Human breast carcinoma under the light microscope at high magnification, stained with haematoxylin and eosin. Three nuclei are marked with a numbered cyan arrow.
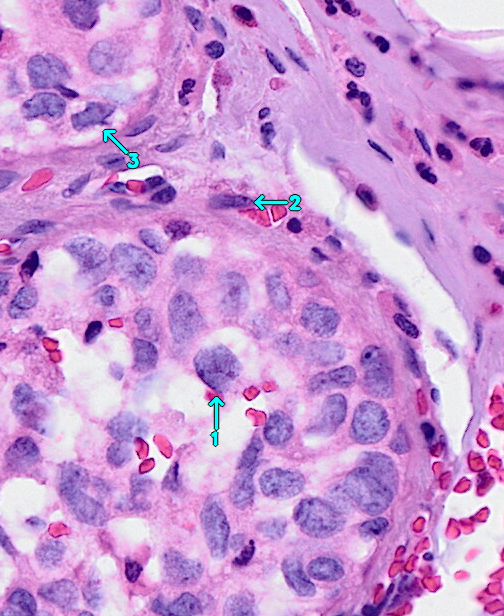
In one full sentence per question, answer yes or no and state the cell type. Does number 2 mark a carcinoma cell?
No, it's not a carcinoma cell at number 2; that cell is an endothelial cell.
